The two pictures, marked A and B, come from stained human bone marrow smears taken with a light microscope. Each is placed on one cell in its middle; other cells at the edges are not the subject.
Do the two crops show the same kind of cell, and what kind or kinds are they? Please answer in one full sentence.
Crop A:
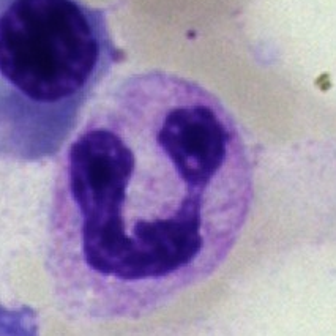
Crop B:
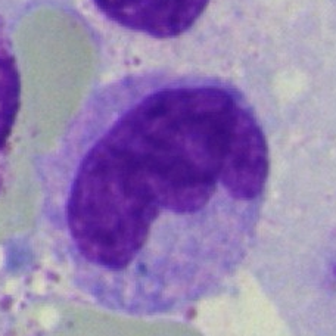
No, whereas crop A shows a segmented neutrophil, crop B shows a monocyte.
